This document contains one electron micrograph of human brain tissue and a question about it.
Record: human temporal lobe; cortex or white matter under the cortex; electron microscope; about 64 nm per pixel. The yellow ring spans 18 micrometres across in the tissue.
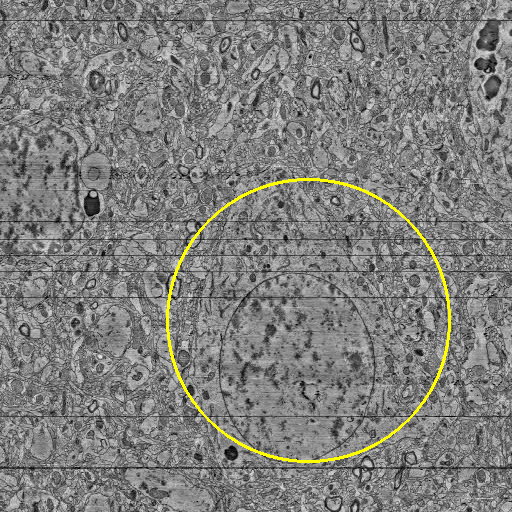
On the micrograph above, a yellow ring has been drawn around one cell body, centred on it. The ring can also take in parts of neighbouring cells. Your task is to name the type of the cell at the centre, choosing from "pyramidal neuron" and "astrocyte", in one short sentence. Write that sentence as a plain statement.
Here the ring is centred on a pyramidal neuron.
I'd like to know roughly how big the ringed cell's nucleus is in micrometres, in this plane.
In this plane the nucleus spans approximately 13 by 10 micrometers.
